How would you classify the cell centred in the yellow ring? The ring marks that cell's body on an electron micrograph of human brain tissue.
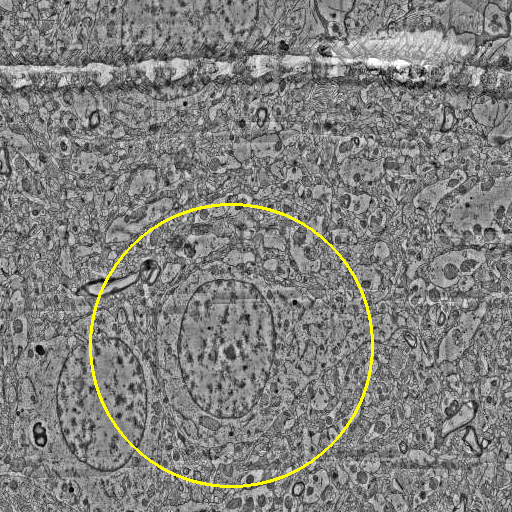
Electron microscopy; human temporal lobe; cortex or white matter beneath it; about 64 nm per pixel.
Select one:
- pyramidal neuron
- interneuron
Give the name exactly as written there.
pyramidal neuron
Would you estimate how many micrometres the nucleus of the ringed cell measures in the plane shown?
Approximately 9 x 6 micrometres in this plane.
